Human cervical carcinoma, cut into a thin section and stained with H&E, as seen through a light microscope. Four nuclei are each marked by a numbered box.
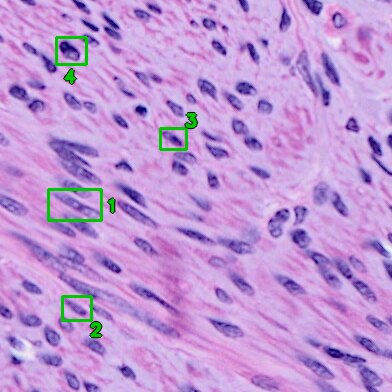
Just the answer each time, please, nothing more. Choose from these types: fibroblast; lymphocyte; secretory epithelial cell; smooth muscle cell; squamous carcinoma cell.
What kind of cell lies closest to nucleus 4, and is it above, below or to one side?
a smooth muscle cell above and to the right of nucleus 4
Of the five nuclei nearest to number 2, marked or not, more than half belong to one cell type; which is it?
smooth muscle cell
